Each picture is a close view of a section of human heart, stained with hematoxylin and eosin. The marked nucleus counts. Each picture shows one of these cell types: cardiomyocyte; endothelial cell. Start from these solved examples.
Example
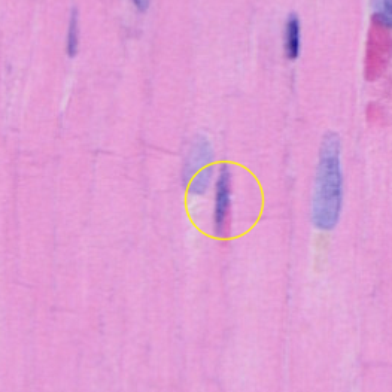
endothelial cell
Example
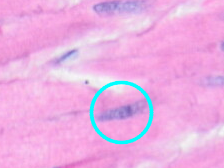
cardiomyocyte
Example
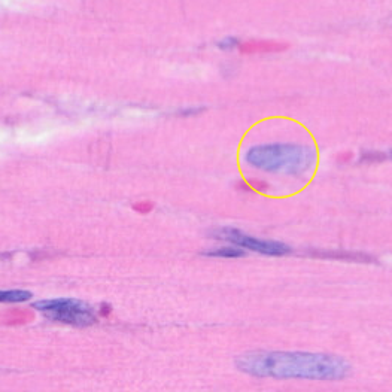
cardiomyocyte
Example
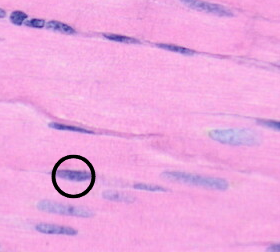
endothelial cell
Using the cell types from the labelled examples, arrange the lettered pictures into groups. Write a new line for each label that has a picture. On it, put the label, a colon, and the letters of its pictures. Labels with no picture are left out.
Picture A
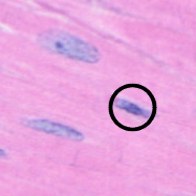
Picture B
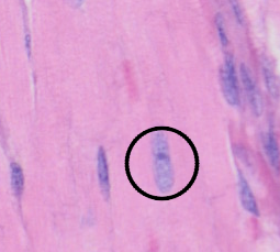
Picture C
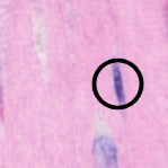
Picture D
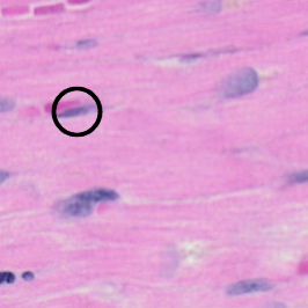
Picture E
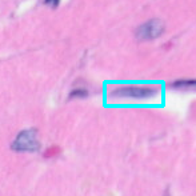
cardiomyocyte: B
endothelial cell: A, C, D, E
